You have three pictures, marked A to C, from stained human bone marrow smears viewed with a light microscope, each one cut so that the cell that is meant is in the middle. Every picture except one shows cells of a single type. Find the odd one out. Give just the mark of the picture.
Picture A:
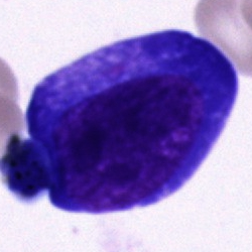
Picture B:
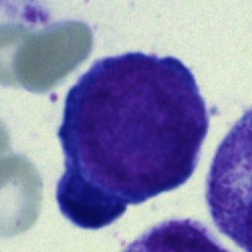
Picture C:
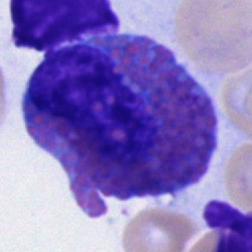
C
